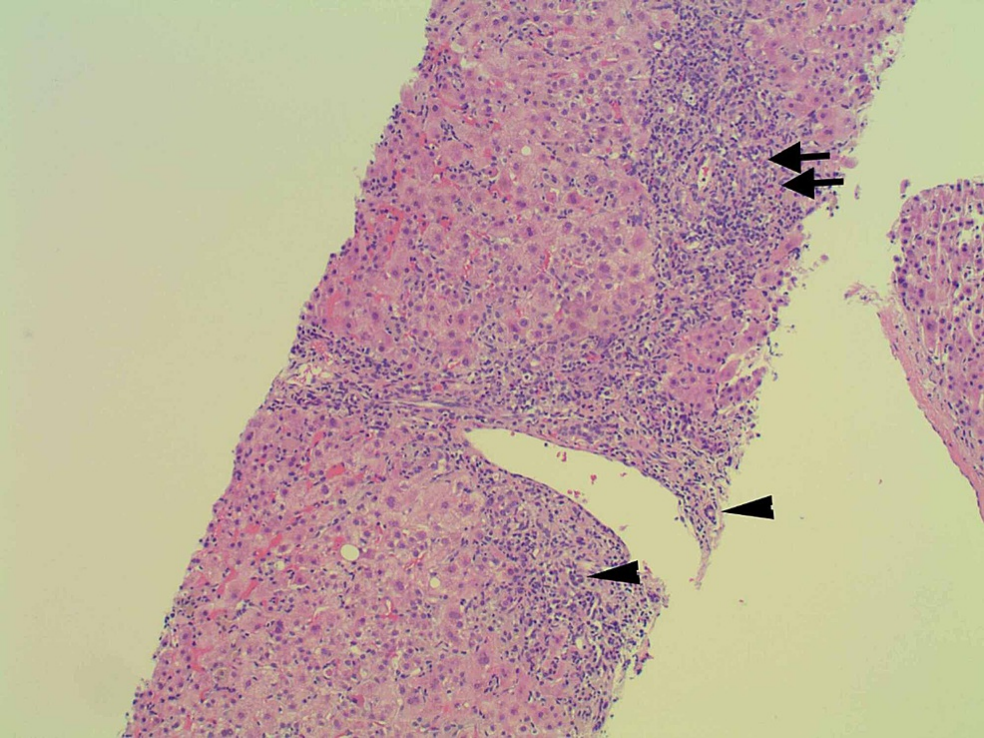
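Liver core with pink polygonal hepatocytes in plates, interrupted by portal areas heavily infiltrated by small cells with dark round nuclei. The inflammatory infiltrate crosses the edge of the portal areas into the adjoining hepatocytes, and smaller clusters of such cells are scattered through the lobule. A few clear round fat vacuoles and red blood-filled sinusoids are seen among the hepatocytes. A cleft runs into one portal area, with small structures lying in its connective tissue.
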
